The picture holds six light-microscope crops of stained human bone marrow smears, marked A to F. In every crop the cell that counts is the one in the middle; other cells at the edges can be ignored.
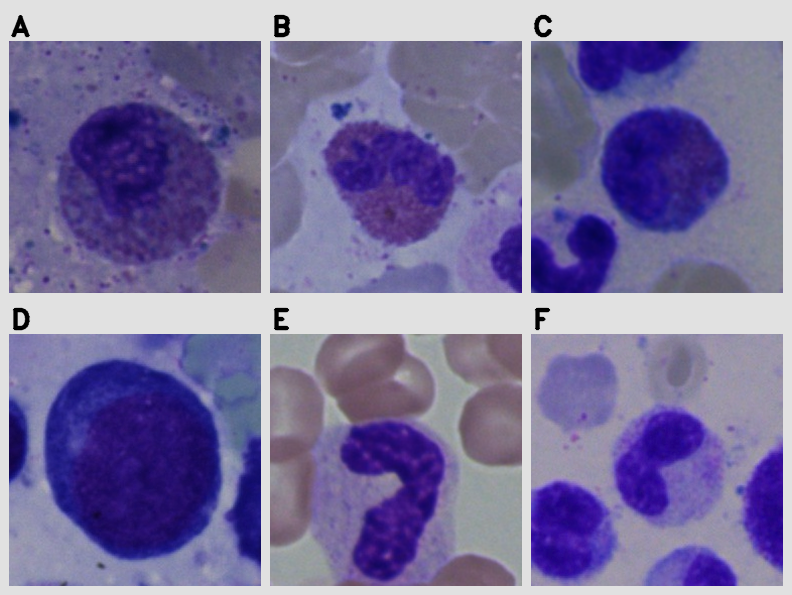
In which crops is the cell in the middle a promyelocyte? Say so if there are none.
none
